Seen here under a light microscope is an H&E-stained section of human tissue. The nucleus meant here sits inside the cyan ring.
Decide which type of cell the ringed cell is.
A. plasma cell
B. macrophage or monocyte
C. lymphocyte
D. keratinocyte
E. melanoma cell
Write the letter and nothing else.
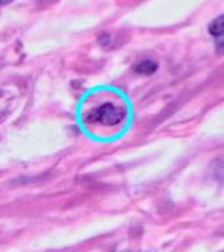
B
